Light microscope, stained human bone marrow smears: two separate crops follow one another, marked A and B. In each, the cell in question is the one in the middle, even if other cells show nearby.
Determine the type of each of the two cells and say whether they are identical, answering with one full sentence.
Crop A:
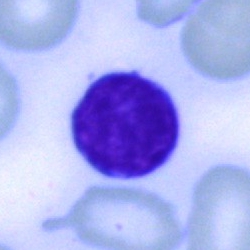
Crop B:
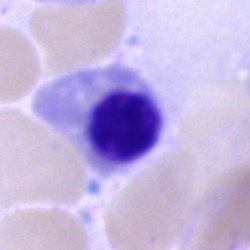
No, look again: crop A shows a lymphocyte, and crop B shows an erythroblast.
